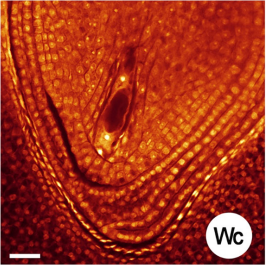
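The nucellus is made of small, roughly cuboidal cells, each with a bright dot of a nucleus, shown in orange-red tones, and curved bands of flattened integument cells run around the margin. In the middle, an elongated sac lies along the axis of the ovule; most of it is taken by a large dark central vacuole, and a single bright nucleus sits at each end of the sac, in a thin rim of cytoplasm. The surrounding nucellar cells are arranged in rows around it.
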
